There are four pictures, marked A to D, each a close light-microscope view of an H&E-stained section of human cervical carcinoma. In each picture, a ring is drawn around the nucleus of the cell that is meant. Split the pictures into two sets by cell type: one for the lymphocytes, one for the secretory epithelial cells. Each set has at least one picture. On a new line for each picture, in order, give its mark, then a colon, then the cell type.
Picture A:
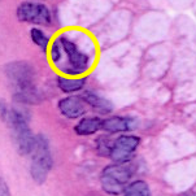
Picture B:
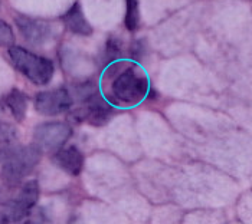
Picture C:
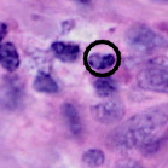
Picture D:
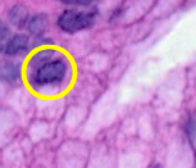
A: secretory epithelial cell
B: secretory epithelial cell
C: lymphocyte
D: secretory epithelial cell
